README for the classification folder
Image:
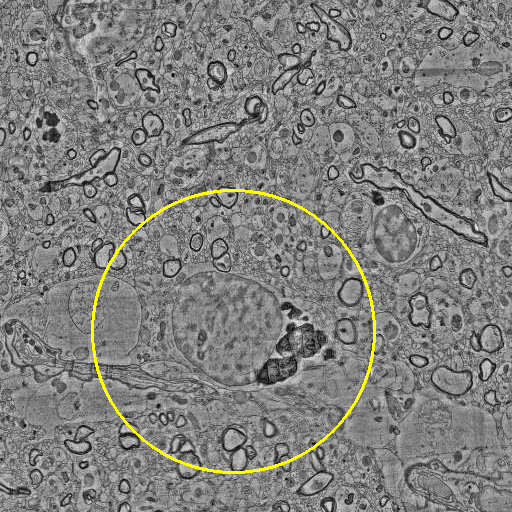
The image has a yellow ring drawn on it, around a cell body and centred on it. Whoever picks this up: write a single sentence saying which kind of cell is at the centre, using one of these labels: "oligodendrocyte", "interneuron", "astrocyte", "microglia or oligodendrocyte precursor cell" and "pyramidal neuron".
This cell body is that of an oligodendrocyte.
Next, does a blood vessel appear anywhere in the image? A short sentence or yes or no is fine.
Yes, one is visible.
